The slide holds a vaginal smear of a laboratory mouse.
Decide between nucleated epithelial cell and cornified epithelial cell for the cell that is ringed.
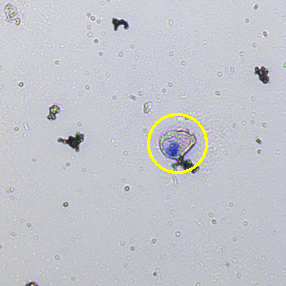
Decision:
I take the ringed cell for a nucleated epithelial cell.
